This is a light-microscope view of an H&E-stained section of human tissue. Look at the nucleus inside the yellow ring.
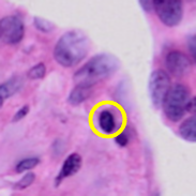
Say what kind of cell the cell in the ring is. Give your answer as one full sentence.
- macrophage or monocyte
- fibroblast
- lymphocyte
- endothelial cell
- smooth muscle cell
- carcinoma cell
In cellular terms, the cell in the ring is a lymphocyte.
